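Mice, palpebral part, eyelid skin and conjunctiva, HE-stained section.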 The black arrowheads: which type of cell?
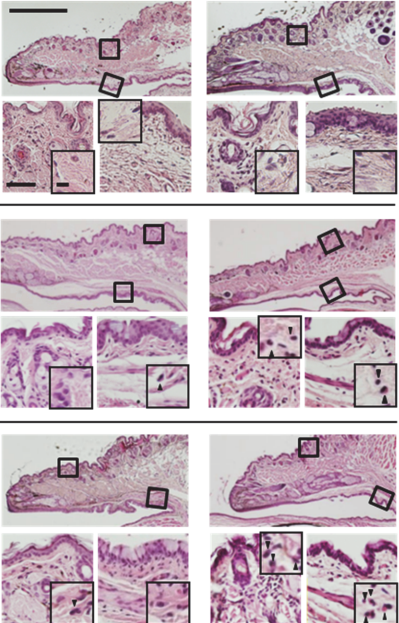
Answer: Eosinophils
